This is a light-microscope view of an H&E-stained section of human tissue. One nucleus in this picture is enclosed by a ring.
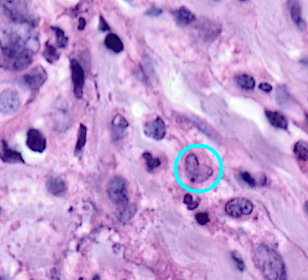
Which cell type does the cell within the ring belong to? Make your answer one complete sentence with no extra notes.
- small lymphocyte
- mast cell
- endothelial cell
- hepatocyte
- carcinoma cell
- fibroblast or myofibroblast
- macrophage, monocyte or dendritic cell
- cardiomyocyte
Placed in its cell category, the cell within the ring is a macrophage, monocyte or dendritic cell.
